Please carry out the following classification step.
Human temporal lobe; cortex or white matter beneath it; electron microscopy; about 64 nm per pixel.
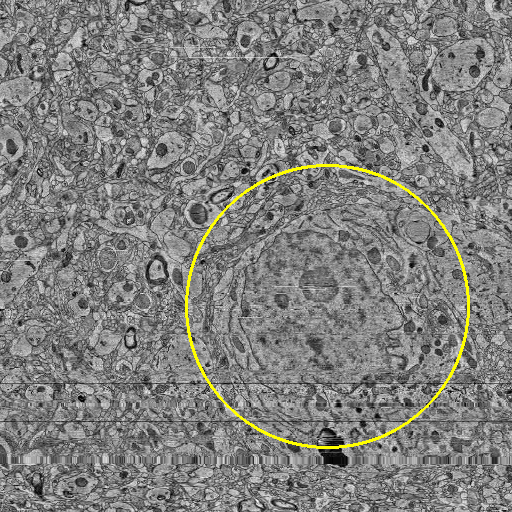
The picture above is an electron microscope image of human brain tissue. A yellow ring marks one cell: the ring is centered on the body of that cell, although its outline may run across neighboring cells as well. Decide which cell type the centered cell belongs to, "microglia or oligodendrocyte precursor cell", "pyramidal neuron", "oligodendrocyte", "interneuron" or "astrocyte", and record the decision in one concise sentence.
The cell centered in the yellow ring is an interneuron.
